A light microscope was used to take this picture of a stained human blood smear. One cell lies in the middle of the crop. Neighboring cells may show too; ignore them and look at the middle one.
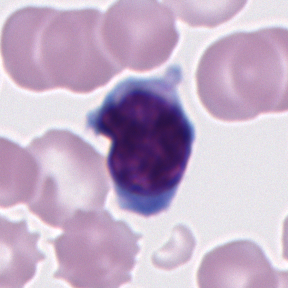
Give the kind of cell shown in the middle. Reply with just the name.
typical lymphocyte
